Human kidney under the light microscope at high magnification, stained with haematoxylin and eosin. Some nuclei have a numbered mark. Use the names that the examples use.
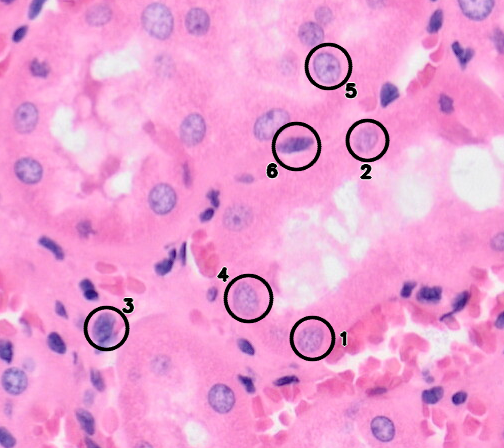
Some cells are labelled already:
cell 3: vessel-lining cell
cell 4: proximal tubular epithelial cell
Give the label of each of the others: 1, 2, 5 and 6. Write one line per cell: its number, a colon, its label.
1: proximal tubular epithelial cell
2: proximal tubular epithelial cell
5: proximal tubular epithelial cell
6: vessel-lining cell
